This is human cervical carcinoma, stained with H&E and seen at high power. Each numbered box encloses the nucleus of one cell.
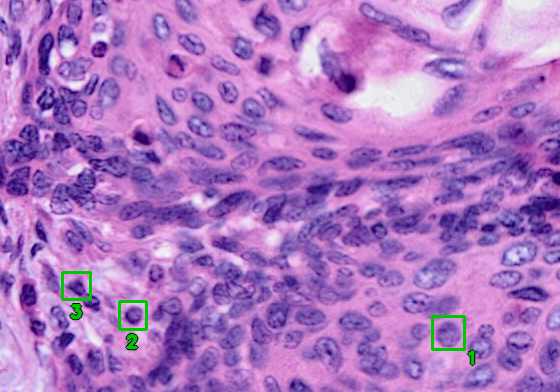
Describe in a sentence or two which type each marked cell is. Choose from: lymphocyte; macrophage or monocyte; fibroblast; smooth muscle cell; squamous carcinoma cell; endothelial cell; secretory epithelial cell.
Cell 1 is a squamous carcinoma cell. Cells 2 and 3 are lymphocytes.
